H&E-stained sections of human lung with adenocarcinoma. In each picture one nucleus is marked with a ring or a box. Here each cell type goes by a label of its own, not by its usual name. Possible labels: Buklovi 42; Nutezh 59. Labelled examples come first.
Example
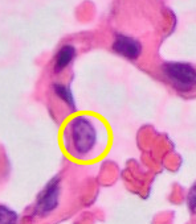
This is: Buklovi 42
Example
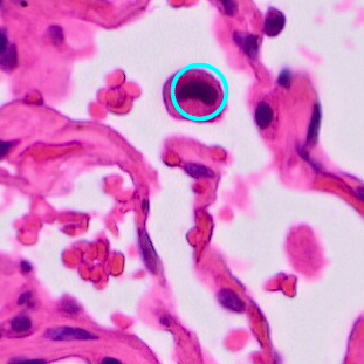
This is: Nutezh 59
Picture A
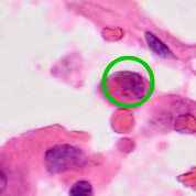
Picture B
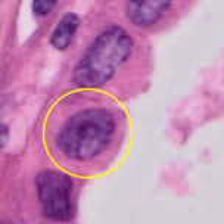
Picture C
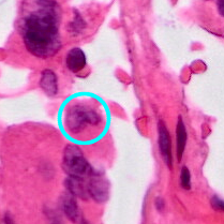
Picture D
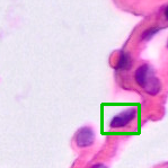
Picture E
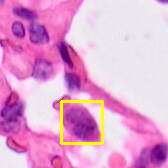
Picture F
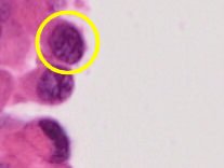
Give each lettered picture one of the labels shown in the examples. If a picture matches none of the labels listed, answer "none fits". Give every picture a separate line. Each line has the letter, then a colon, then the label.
A: Nutezh 59
B: none fits
C: Nutezh 59
D: Buklovi 42
E: Nutezh 59
F: none fits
